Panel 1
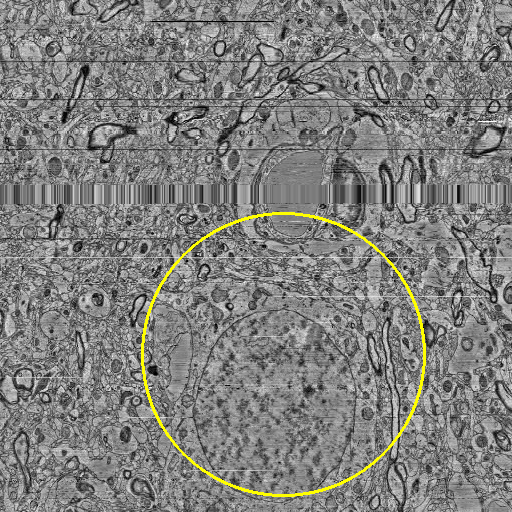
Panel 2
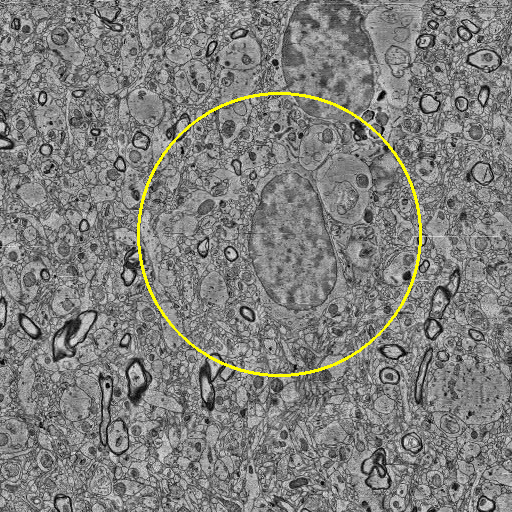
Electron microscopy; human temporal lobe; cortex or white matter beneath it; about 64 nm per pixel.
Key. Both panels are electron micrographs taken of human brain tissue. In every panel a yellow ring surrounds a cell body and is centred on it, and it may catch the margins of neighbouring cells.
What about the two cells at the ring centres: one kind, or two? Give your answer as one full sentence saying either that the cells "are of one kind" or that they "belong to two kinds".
Across Panels 1 and 2, the two cells at the ring centres belong to two kinds.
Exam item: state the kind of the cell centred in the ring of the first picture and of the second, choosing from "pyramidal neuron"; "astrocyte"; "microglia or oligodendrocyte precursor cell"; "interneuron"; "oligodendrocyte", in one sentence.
The first picture shows a pyramidal neuron at the ring centre and the second shows an oligodendrocyte.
